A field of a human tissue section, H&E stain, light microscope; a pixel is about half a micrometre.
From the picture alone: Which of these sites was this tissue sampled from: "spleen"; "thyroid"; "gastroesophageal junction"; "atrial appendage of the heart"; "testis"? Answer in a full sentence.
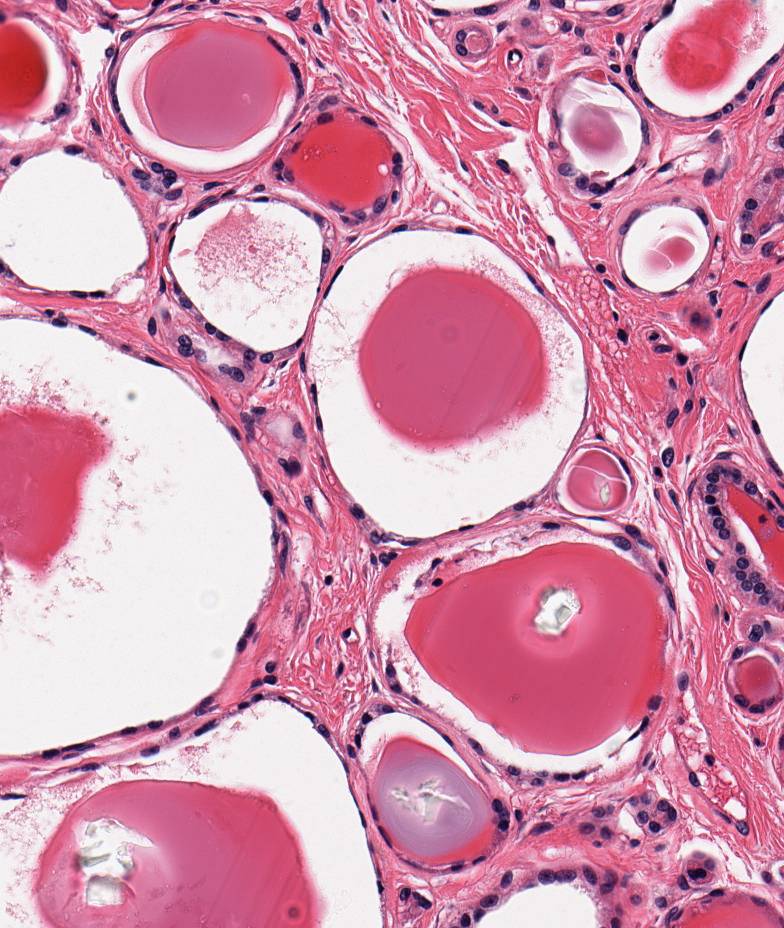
The site this tissue was sampled from is the thyroid.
